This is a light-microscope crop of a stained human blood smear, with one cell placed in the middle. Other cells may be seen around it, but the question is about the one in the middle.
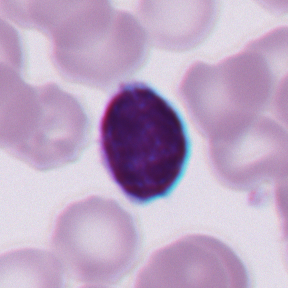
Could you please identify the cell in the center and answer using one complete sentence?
Standing at the centre of this crop is a lymphocyte.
